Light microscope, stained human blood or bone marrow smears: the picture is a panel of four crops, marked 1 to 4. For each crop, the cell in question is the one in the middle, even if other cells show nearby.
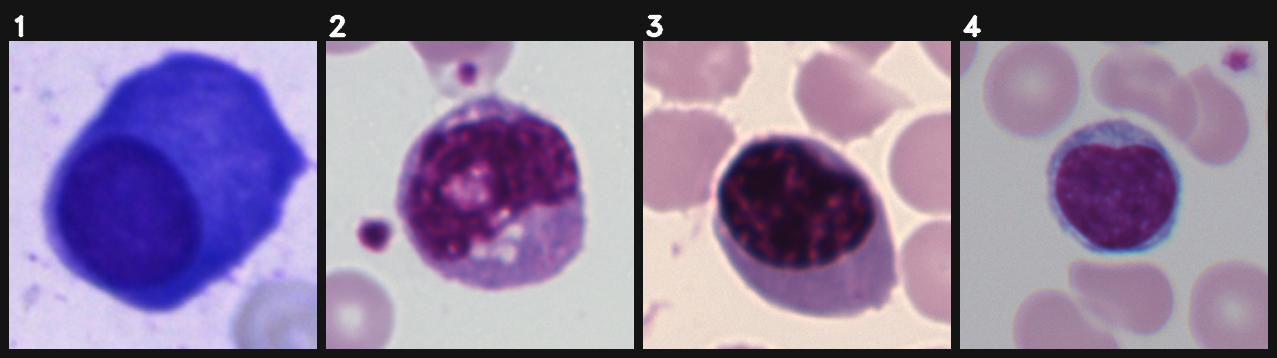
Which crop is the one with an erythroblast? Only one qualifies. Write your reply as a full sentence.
Crop 3 is the crop in which an erythroblast is shown.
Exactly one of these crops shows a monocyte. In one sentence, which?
The crop with a monocyte at its center is crop 2.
